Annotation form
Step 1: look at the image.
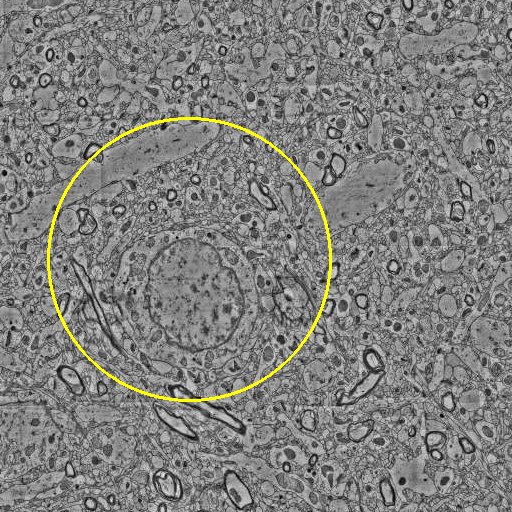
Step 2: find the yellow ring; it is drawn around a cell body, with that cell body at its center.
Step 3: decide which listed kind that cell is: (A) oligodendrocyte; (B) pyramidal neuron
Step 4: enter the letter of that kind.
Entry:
B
